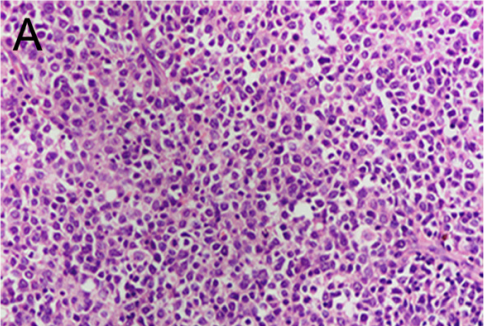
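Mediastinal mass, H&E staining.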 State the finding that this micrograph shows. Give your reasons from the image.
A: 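Medium to large cells fill the field in a continuous sheet. No follicles or other organized architecture are seen. Cells have pale cytoplasm and dark nuclei. The answer: Diffuse distribution of tumor cells.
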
